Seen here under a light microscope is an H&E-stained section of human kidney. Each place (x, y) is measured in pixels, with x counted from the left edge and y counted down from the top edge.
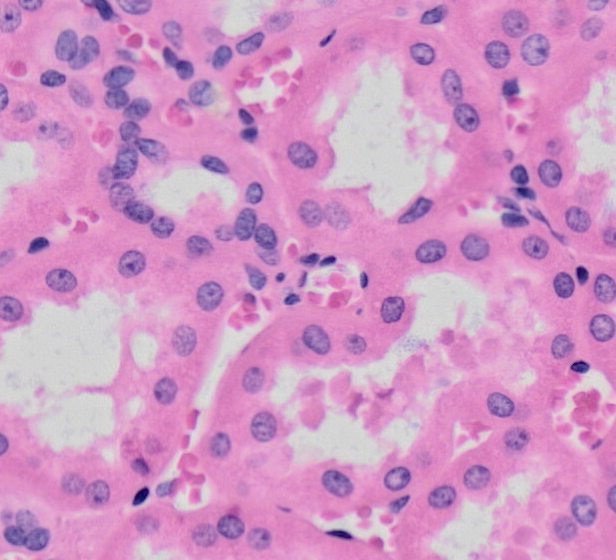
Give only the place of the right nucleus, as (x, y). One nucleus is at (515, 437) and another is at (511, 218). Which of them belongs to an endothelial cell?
(511, 218)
